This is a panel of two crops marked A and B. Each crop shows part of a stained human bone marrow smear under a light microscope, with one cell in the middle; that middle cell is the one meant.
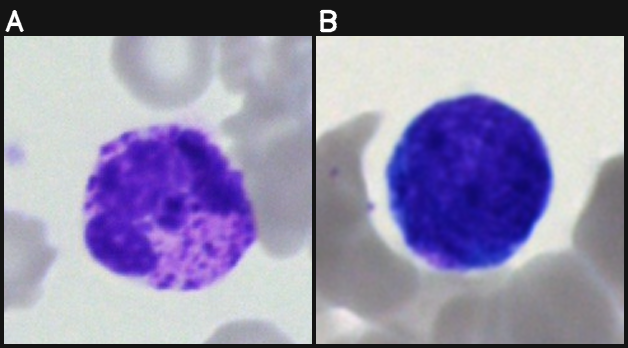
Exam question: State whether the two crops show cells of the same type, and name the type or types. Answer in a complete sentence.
No, crop A features a basophil, and crop B features a lymphocyte.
